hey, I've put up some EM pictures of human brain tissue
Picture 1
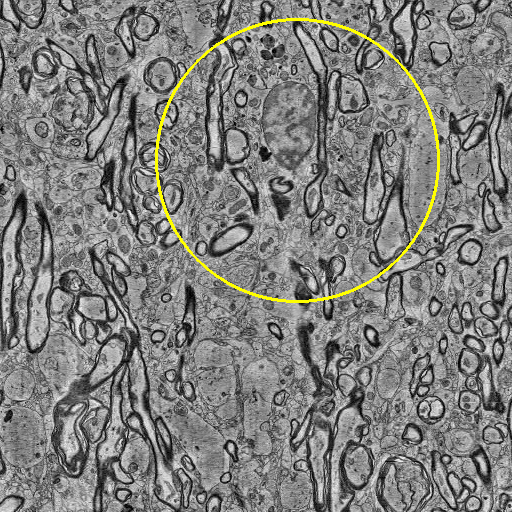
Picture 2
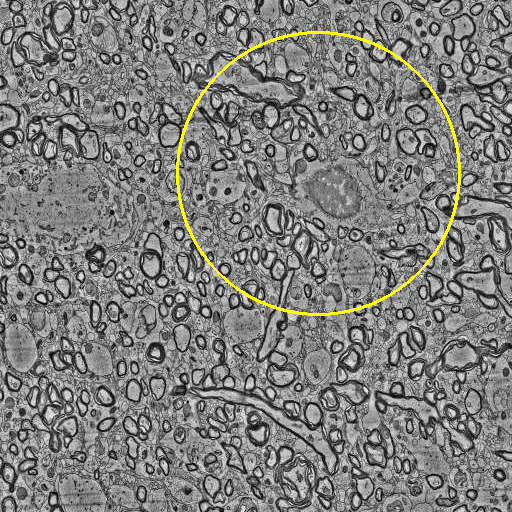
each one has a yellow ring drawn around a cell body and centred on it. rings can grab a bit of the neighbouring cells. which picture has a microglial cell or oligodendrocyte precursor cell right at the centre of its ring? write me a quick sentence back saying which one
It's Picture 1.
